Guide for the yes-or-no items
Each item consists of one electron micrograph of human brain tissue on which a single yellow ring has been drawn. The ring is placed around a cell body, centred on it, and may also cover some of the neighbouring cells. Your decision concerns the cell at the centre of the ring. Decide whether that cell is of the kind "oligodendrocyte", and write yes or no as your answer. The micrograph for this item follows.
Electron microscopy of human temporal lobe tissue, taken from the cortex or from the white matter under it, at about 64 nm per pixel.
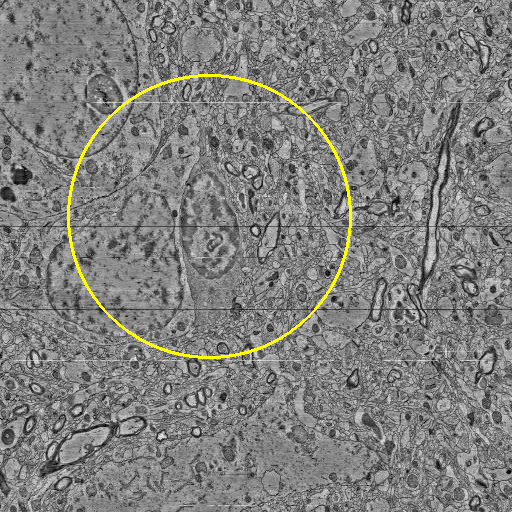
yes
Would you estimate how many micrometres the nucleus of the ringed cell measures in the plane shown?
In this plane the nucleus is clearly longer than it is wide, at approximately 6 by 4 micrometres.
